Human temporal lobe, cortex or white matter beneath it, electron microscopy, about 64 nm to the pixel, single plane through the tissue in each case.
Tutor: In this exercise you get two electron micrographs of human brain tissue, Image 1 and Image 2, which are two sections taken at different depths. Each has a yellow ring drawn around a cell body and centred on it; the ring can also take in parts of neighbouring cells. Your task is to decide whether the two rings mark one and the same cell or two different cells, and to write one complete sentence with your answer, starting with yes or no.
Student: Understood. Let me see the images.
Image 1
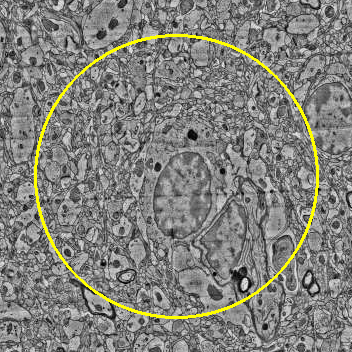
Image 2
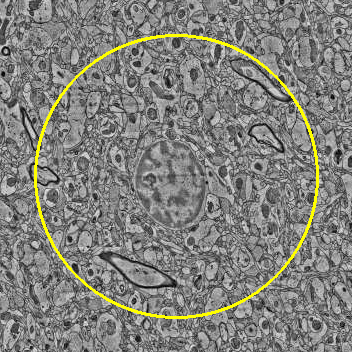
No, a different cell sits inside each of the two rings.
